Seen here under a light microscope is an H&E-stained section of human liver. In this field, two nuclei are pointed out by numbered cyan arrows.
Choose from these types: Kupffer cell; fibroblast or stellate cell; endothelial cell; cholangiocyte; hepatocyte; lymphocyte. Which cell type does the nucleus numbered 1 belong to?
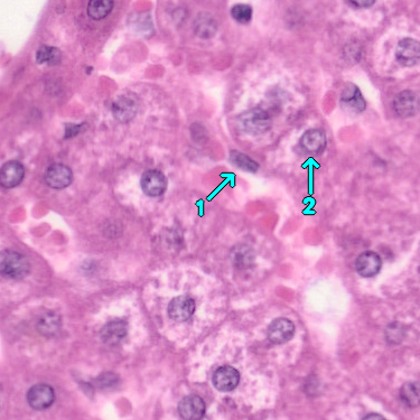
endothelial cell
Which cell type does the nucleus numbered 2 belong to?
hepatocyte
